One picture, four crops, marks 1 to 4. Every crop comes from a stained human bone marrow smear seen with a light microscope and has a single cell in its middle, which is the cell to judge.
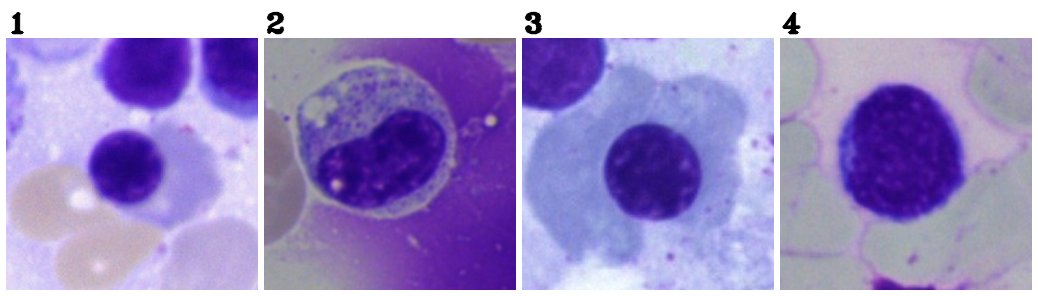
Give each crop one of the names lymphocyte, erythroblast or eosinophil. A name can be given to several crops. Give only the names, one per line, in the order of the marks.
erythroblast
eosinophil
erythroblast
lymphocyte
